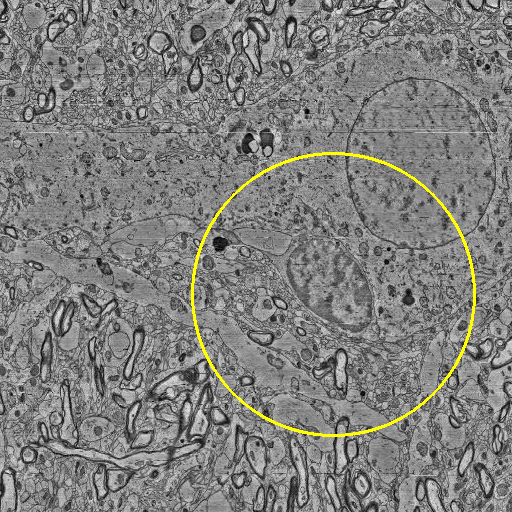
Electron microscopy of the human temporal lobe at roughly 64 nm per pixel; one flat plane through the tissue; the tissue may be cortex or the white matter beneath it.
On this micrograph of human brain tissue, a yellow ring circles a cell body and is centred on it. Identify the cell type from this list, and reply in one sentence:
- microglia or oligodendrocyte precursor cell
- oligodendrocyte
The cell at the centre is an oligodendrocyte.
